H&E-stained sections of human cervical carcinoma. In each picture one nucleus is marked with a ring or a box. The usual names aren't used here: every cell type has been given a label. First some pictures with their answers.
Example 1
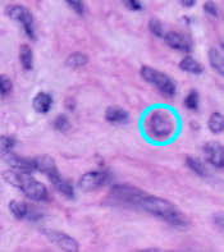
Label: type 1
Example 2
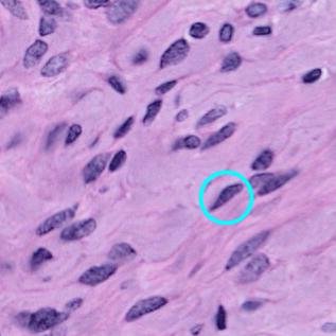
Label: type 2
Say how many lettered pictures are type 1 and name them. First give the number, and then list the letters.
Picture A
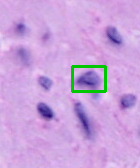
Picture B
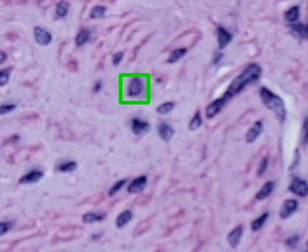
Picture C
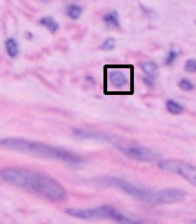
Count: 2 (B, C)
